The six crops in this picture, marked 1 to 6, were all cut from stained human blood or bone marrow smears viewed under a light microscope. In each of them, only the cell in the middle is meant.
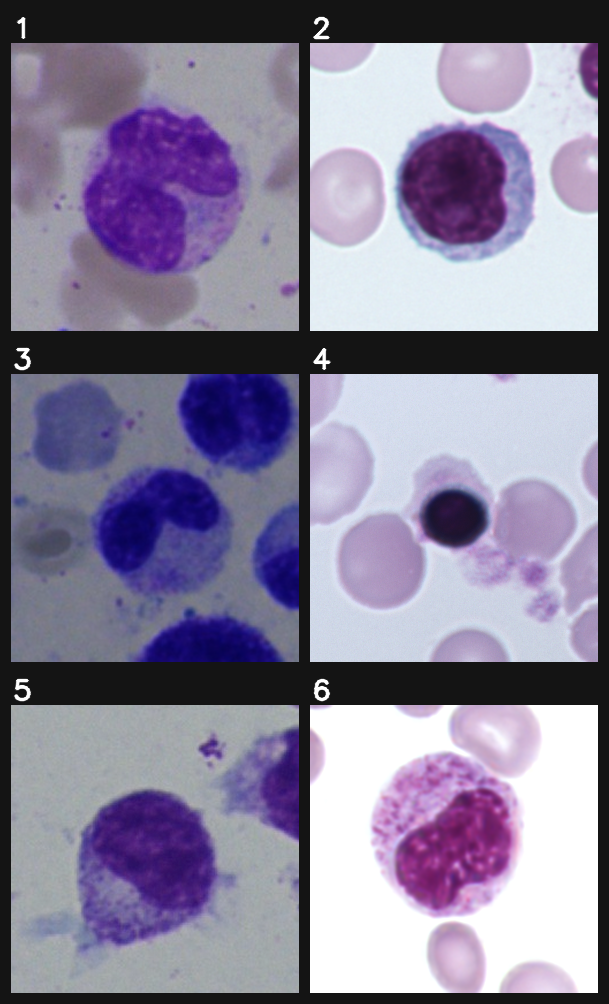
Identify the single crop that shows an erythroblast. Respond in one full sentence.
Within this set, crop 4 is the one with an erythroblast at its center.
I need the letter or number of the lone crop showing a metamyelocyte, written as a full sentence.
Among the crops provided, a metamyelocyte occupies the center of crop 6.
